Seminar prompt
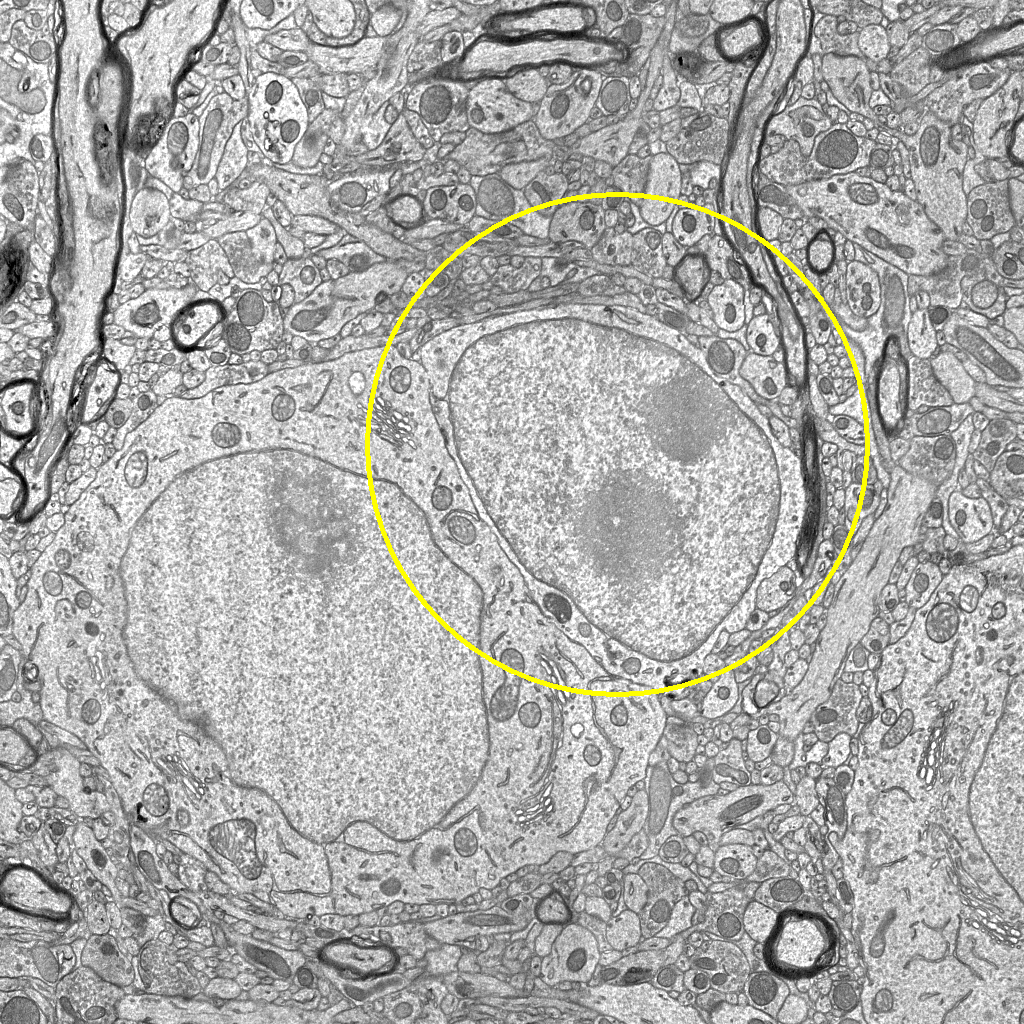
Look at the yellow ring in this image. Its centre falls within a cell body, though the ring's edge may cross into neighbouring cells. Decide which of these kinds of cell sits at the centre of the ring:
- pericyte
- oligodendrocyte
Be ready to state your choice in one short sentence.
The kind of cell at the ring's centre is an oligodendrocyte.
